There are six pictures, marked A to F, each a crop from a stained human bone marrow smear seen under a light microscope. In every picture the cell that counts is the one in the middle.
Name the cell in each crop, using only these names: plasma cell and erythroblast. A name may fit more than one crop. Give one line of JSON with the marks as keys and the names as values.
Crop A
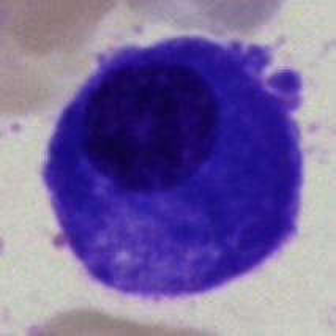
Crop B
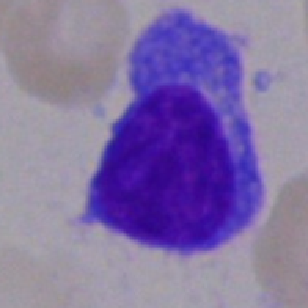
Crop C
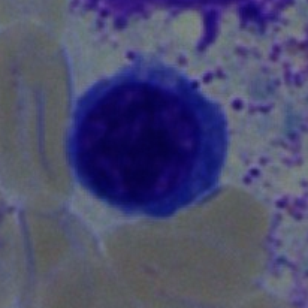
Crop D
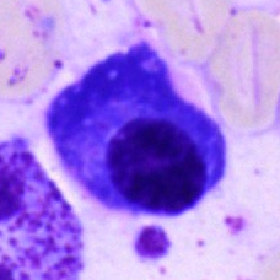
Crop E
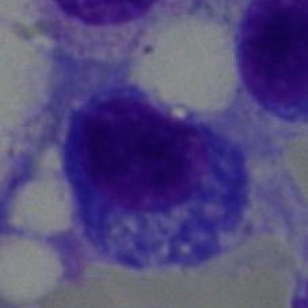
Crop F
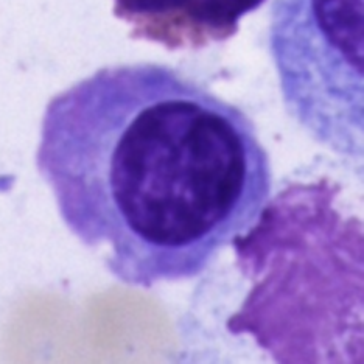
{"A": "plasma cell", "B": "plasma cell", "C": "erythroblast", "D": "plasma cell", "E": "plasma cell", "F": "plasma cell"}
